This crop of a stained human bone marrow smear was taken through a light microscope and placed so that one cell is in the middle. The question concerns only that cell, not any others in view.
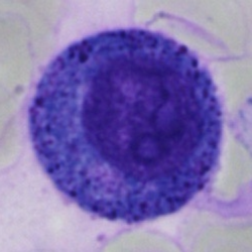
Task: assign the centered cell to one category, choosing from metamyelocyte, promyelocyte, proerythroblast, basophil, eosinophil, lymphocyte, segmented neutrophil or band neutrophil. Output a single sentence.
The cell in the middle of the field of view is a proerythroblast.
